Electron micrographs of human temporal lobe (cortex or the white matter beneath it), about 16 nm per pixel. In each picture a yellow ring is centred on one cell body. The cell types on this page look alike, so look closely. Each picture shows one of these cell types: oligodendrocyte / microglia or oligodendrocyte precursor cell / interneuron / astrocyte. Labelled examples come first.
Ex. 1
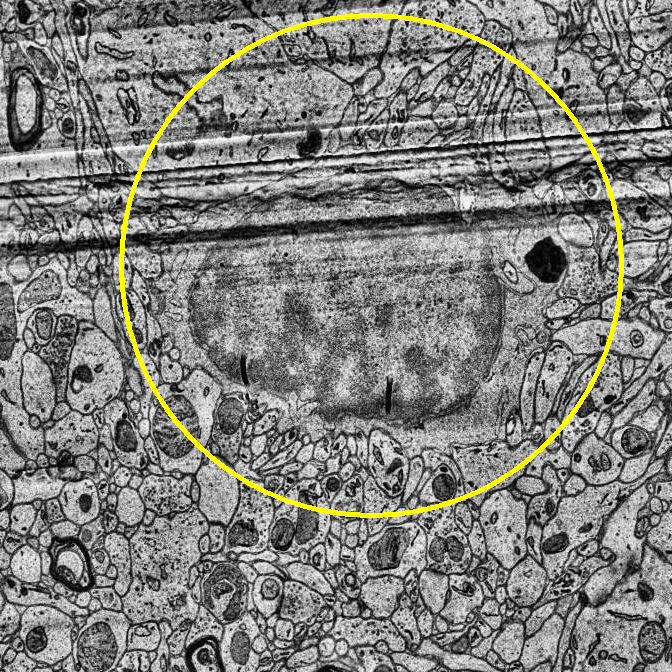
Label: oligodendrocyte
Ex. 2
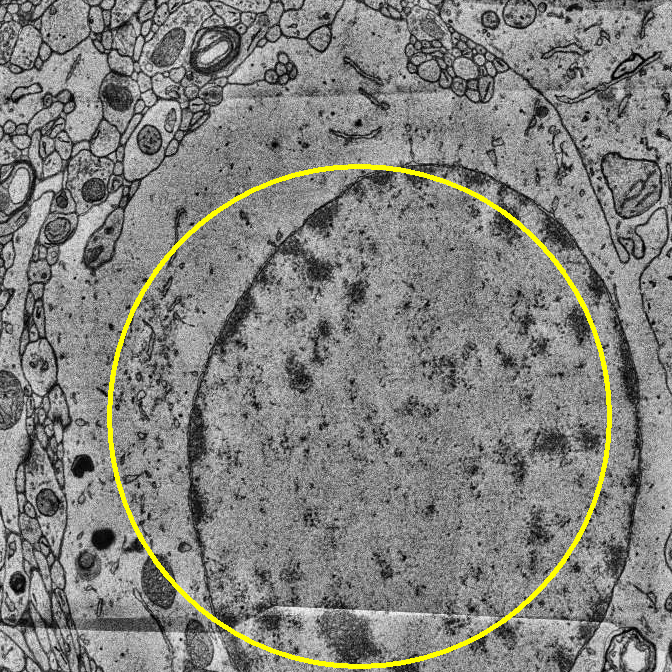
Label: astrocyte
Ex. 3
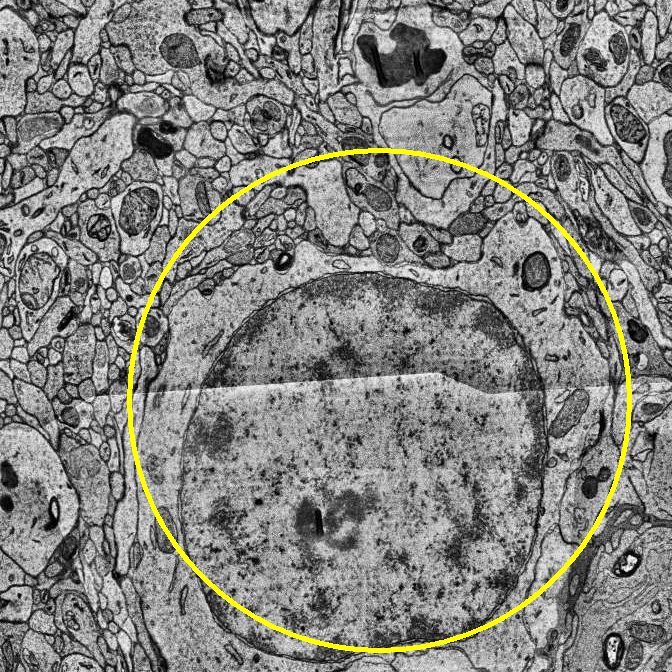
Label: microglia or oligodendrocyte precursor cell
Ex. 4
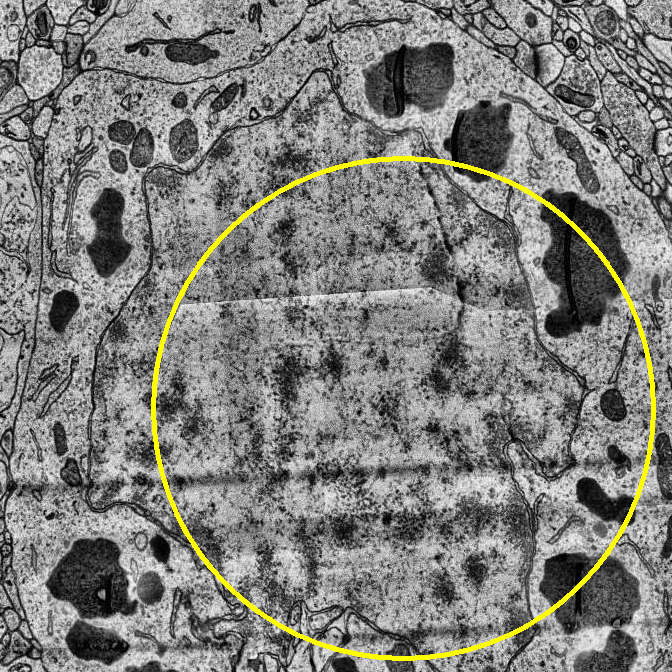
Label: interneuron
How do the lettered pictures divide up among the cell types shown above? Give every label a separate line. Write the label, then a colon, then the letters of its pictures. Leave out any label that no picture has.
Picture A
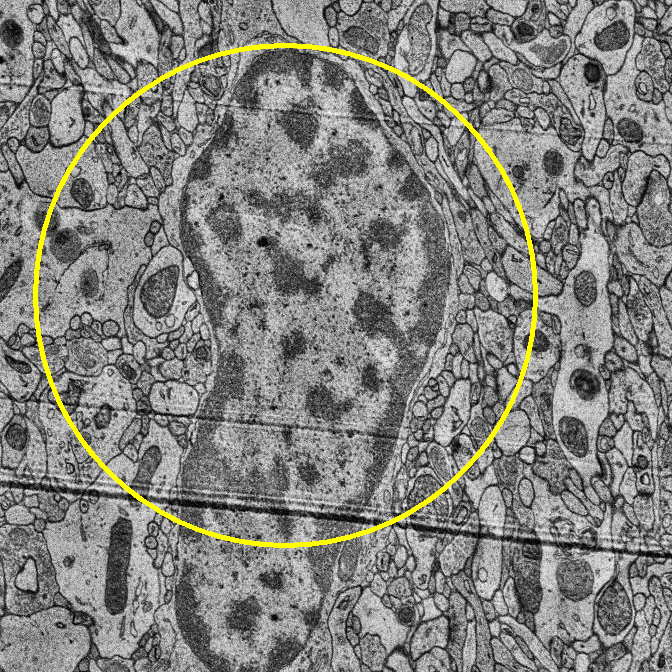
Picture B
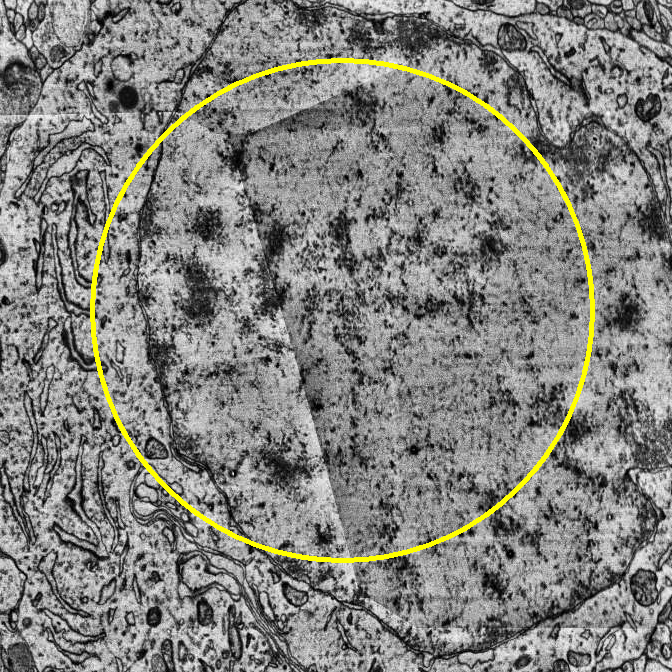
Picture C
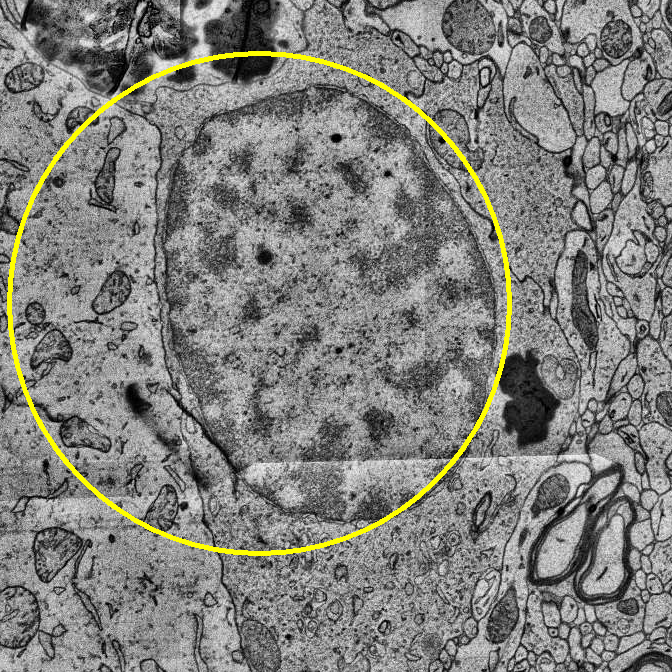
oligodendrocyte: C
microglia or oligodendrocyte precursor cell: A
interneuron: B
